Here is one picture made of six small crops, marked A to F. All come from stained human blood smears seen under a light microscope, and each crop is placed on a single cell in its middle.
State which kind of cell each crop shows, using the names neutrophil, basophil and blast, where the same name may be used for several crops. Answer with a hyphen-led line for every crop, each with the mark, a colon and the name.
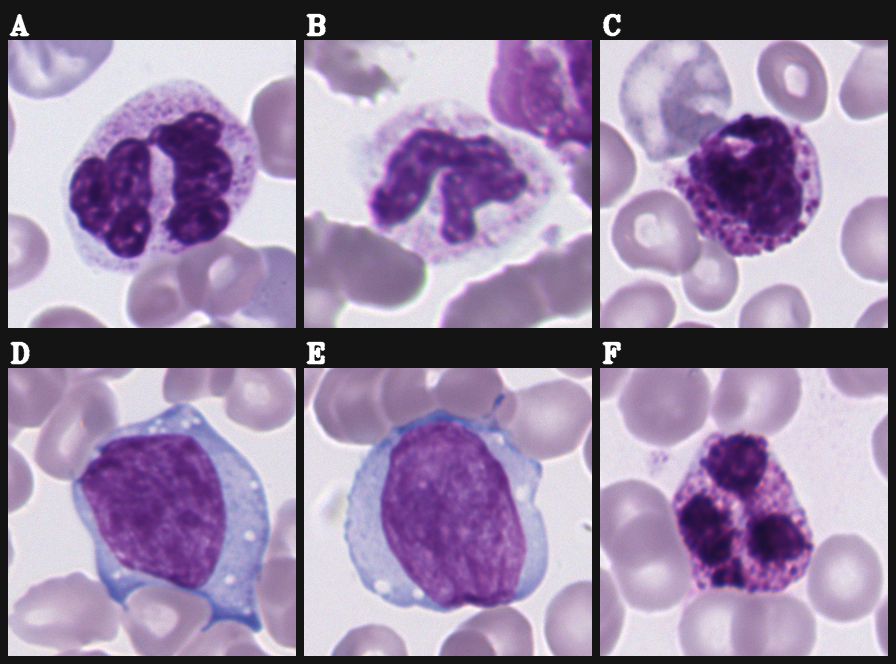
- A: neutrophil
- B: neutrophil
- C: basophil
- D: blast
- E: blast
- F: basophil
